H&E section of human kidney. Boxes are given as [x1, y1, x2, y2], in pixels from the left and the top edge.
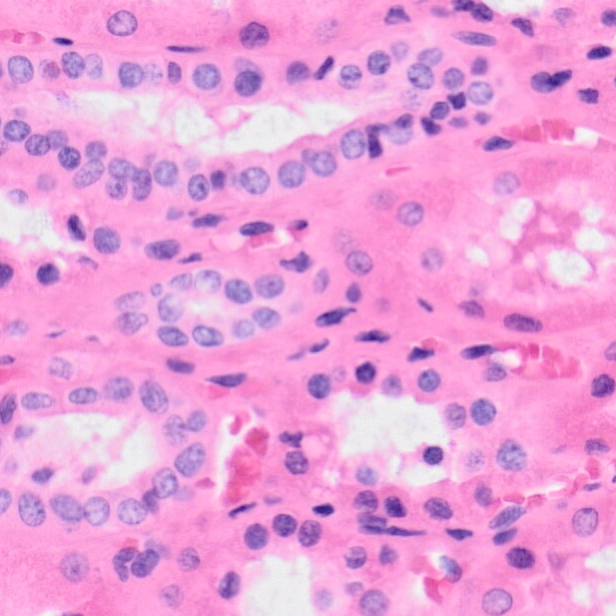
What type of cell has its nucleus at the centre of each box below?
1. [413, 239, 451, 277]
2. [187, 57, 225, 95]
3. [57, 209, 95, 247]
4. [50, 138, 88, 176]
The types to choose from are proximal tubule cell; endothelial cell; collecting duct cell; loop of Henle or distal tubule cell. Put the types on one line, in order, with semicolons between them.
proximal tubule cell; collecting duct cell; loop of Henle or distal tubule cell; collecting duct cell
